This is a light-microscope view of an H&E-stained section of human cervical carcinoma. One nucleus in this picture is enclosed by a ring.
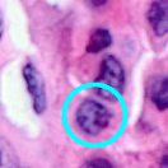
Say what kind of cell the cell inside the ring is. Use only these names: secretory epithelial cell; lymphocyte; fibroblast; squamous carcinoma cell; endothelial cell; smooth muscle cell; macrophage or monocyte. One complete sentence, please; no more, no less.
Histopathologically, the cell inside the ring is a squamous carcinoma cell.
